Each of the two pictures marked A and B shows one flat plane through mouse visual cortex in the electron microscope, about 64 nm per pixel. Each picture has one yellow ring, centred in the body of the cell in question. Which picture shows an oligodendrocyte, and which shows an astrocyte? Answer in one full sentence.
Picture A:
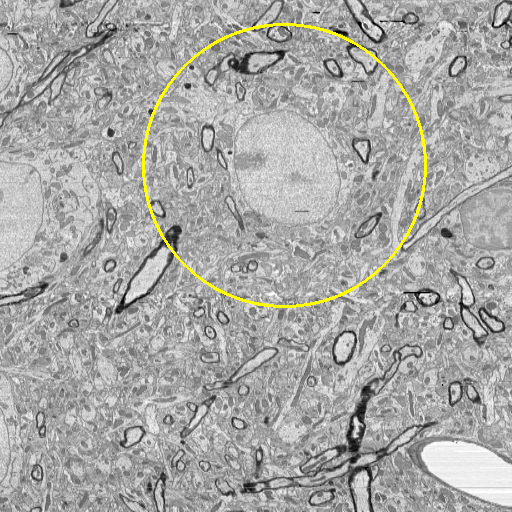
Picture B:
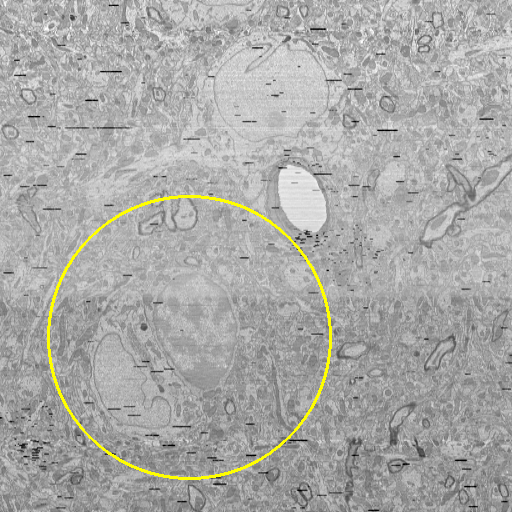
It is picture A that shows an astrocyte, and picture B that shows an oligodendrocyte.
